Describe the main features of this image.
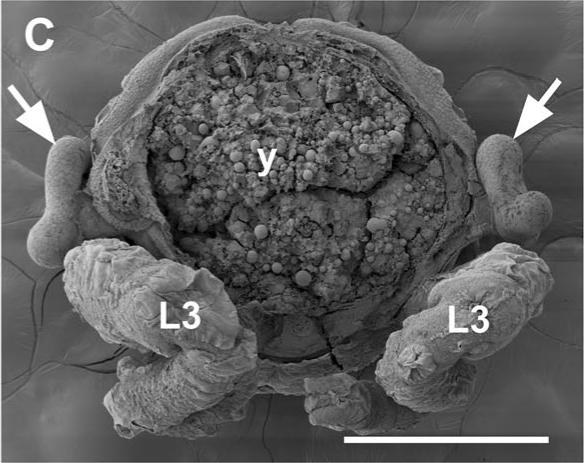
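A cross section through the abdomen of an embryo shows a thin body wall enclosing a core of granular yolk made of many rounded globules. A pair of small club-shaped pleuropodia projects from the sides of the body wall, above the larger, wrinkled hind legs lying below.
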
